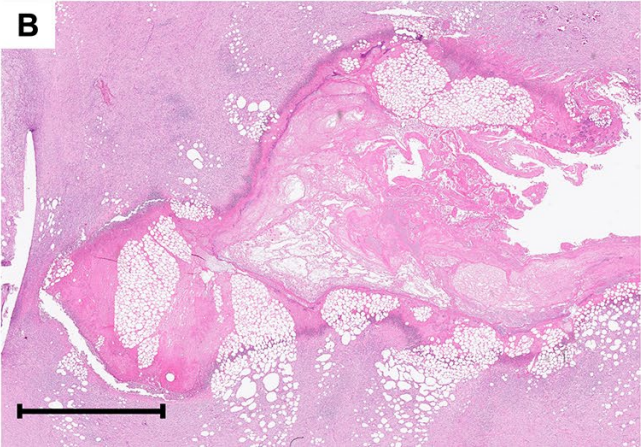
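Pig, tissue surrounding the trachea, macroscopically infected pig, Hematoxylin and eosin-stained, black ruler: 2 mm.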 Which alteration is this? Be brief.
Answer: Tissue necrosis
